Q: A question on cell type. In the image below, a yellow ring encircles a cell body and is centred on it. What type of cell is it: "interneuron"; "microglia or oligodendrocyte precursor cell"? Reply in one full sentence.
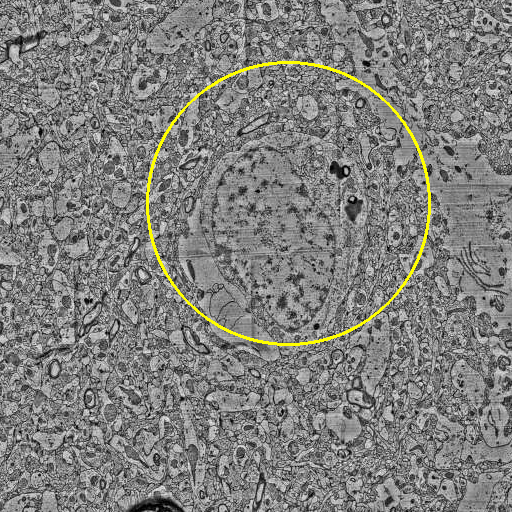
It is an interneuron whose cell body sits at the centre of the yellow ring in the image.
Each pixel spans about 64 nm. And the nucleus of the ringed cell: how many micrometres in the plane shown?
In this plane the nucleus is clearly longer than it is wide, at approximately 12 by 8 micrometres.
